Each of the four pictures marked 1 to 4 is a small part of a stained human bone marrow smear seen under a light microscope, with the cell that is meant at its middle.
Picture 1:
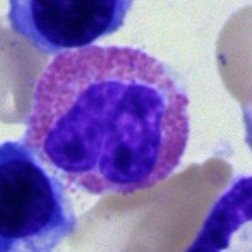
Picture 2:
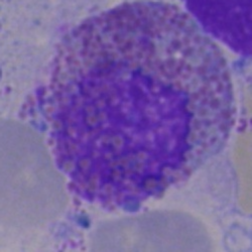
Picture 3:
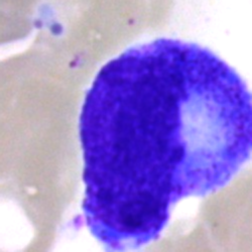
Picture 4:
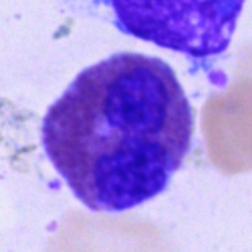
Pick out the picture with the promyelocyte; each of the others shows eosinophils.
3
